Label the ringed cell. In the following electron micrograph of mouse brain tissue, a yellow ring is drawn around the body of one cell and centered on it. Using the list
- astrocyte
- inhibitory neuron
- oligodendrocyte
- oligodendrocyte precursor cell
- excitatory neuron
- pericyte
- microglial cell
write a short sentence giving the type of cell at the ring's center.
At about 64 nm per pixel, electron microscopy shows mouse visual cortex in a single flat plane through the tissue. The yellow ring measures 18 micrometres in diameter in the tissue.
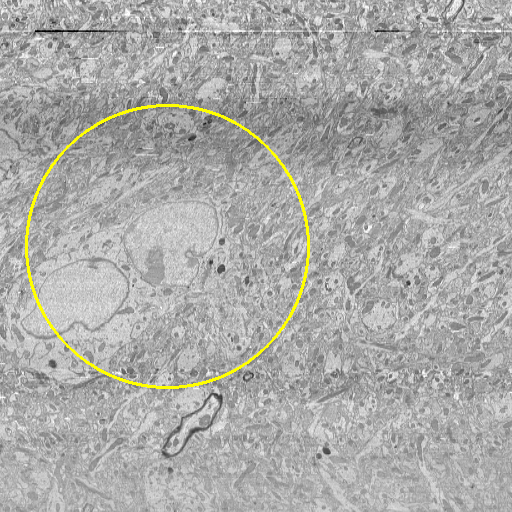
The cell body at the ring's center is that of an oligodendrocyte precursor cell.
